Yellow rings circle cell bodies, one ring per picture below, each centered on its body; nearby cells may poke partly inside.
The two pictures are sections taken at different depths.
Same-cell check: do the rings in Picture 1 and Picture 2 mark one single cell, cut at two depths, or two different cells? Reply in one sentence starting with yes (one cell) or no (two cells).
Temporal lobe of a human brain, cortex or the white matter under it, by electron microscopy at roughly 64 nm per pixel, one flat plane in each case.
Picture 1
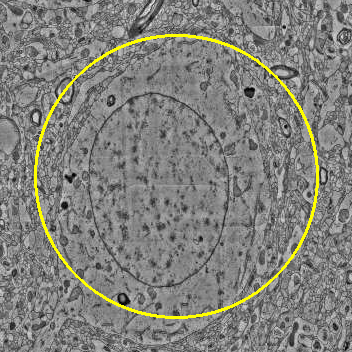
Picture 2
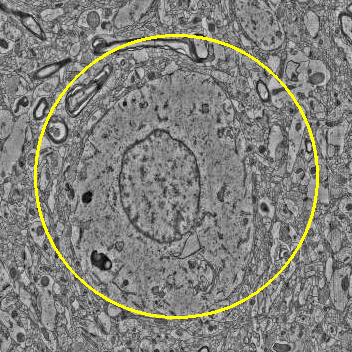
Yes, one cell accounts for both of the yellow rings.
